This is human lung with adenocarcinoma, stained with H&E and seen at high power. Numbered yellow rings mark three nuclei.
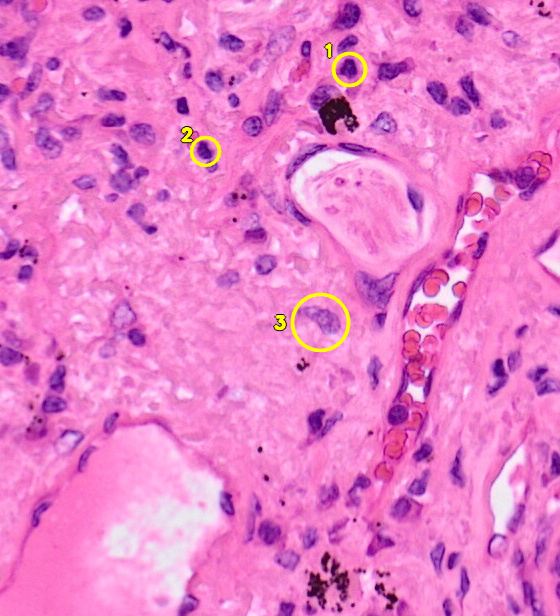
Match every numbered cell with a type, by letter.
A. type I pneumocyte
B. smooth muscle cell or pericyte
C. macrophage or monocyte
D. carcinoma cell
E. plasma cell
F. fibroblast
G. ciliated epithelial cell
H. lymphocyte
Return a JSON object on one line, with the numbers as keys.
{"1": "E", "2": "H", "3": "F"}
